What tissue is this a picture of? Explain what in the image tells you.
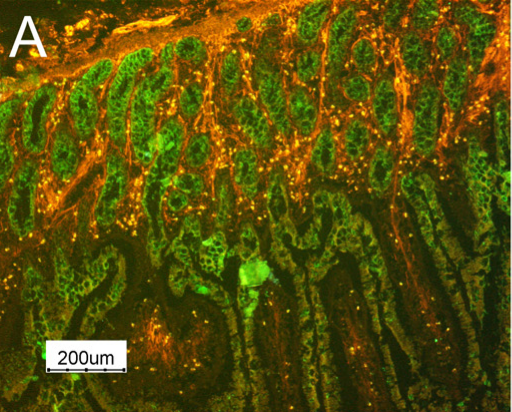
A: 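Rows of rounded and elongated glandular tubes lined by green epithelium. Orange-stained connective tissue fills the spaces between the glands. Glands run in parallel, perpendicular to the surface. So: small intestine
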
